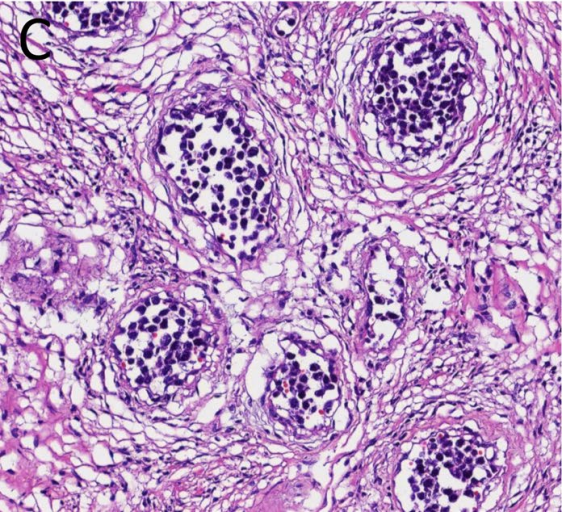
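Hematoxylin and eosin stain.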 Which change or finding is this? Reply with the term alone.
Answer: Abnormal cells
